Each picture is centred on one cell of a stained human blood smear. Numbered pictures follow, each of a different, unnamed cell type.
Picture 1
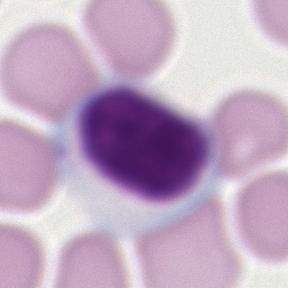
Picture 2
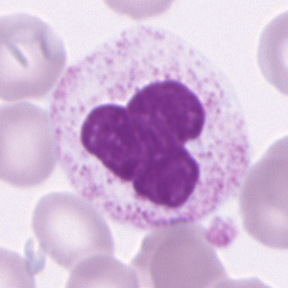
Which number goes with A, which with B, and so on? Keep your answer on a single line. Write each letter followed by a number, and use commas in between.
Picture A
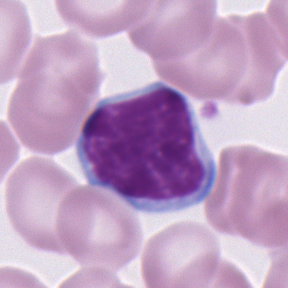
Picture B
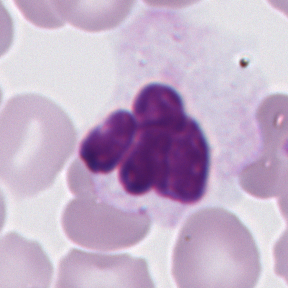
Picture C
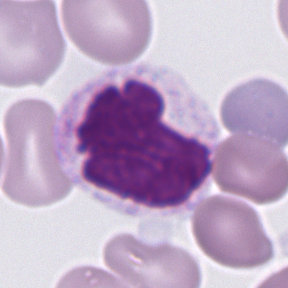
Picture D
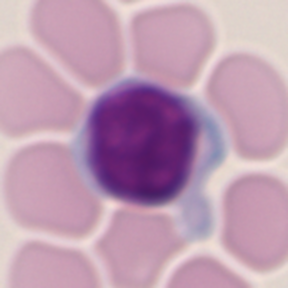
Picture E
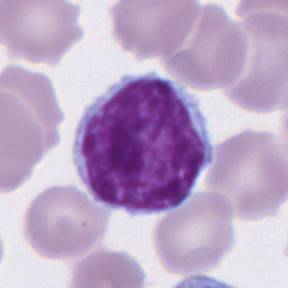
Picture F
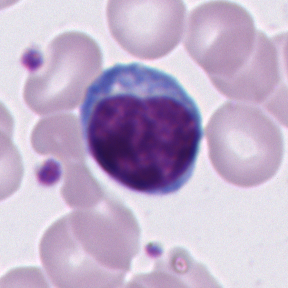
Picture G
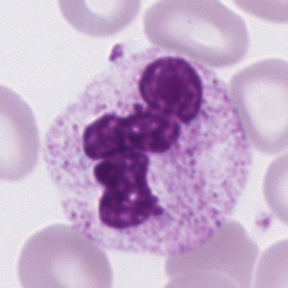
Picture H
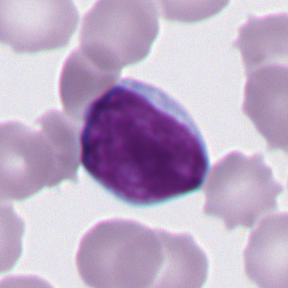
A 1, B 2, C 2, D 1, E 1, F 1, G 2, H 1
